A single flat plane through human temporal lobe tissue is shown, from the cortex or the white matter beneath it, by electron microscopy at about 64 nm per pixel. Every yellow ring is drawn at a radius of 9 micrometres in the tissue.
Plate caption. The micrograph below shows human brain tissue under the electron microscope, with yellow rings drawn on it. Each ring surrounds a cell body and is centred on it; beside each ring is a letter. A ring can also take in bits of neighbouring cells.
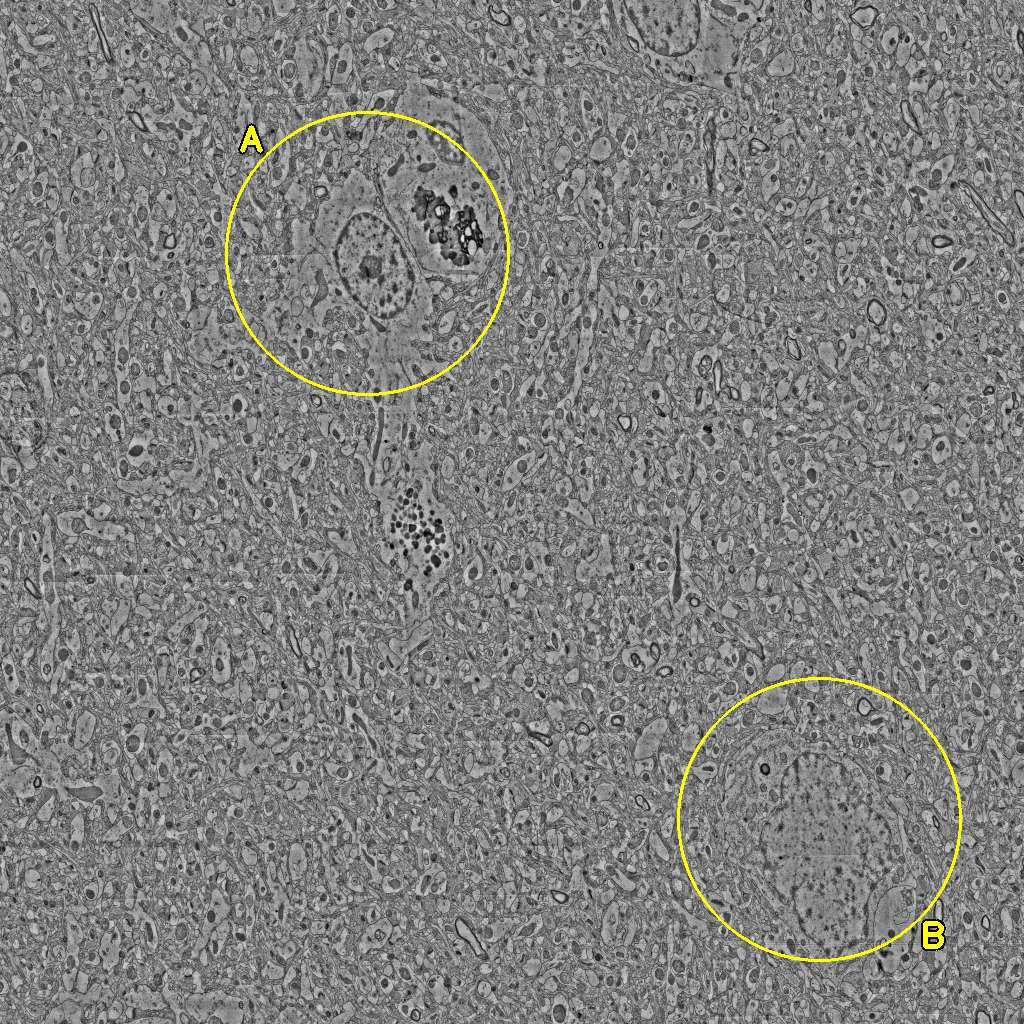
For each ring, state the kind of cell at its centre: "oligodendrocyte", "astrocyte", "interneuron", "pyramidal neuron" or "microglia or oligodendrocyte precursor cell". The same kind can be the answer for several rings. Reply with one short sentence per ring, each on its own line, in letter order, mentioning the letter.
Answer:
Ring A is drawn around an astrocyte.
Ring B is drawn around an interneuron.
